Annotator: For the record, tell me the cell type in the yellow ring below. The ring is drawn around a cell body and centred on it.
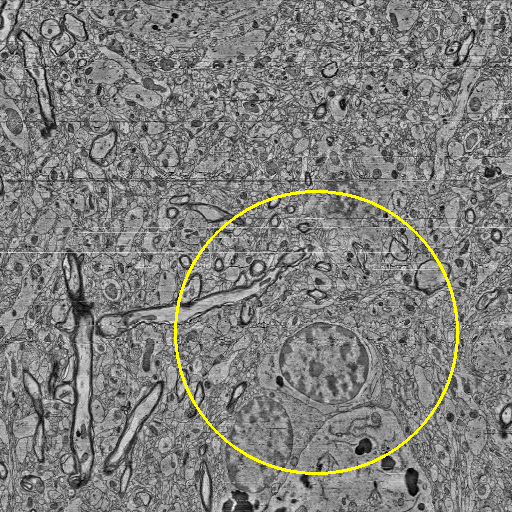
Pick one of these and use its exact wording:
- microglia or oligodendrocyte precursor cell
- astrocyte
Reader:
microglia or oligodendrocyte precursor cell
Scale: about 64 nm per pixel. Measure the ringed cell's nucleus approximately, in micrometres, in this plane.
Roughly 6 micrometers across in this plane.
